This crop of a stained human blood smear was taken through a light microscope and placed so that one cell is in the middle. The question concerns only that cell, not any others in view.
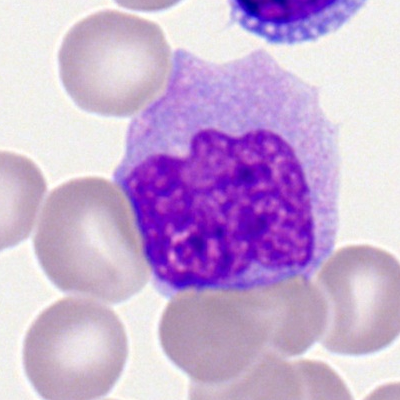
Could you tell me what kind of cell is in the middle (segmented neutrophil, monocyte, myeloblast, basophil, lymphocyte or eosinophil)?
monocyte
